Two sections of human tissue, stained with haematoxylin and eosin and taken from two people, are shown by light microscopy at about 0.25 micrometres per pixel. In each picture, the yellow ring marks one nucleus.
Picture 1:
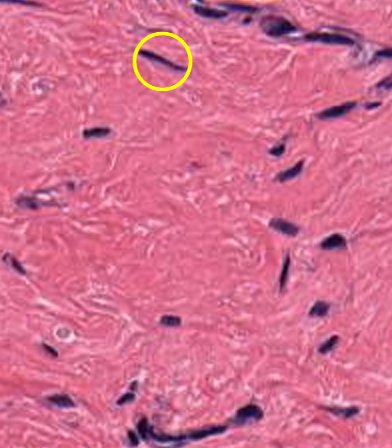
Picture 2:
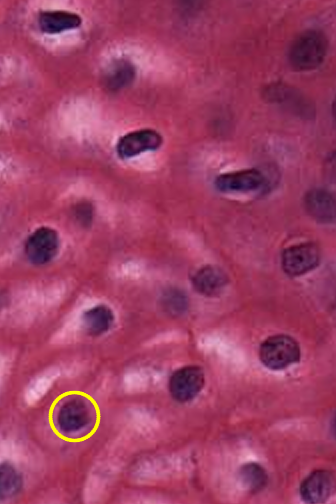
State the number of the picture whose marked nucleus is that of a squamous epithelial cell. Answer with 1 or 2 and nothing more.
2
